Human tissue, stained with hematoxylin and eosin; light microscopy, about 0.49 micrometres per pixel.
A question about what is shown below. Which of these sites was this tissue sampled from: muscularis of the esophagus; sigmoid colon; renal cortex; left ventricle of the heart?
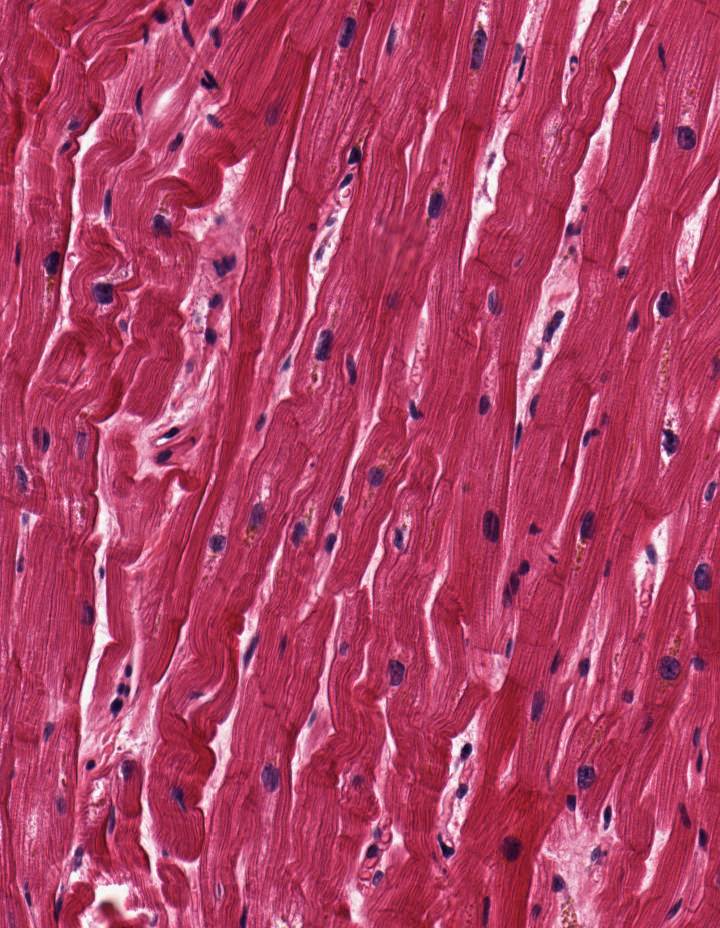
left ventricle of the heart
